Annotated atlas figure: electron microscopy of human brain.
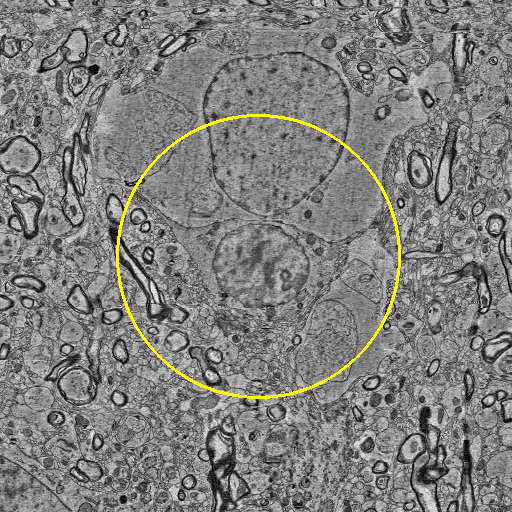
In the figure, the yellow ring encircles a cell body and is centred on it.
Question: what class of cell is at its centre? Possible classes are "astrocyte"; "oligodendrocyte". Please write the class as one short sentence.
The yellow ring is drawn around an oligodendrocyte.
